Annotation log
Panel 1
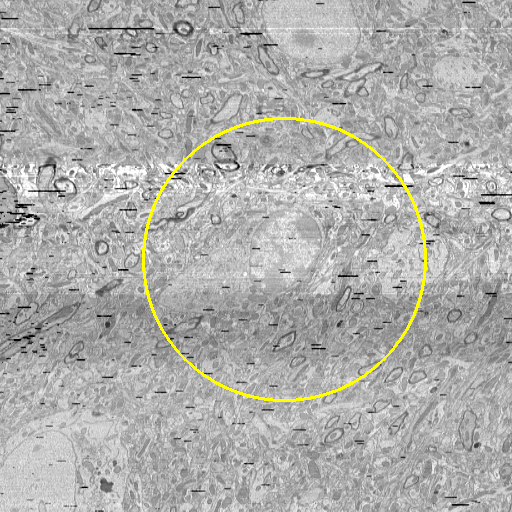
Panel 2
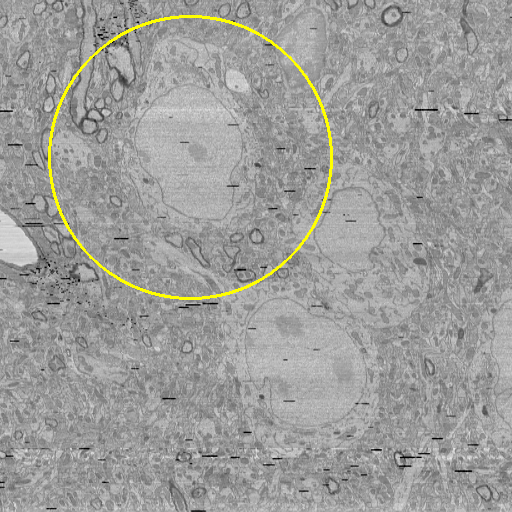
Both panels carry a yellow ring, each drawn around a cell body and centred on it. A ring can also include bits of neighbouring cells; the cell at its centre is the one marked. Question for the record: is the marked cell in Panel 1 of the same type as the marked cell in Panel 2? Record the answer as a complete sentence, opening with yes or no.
No, the marked cells in Panel 1 and Panel 2 are of two types.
